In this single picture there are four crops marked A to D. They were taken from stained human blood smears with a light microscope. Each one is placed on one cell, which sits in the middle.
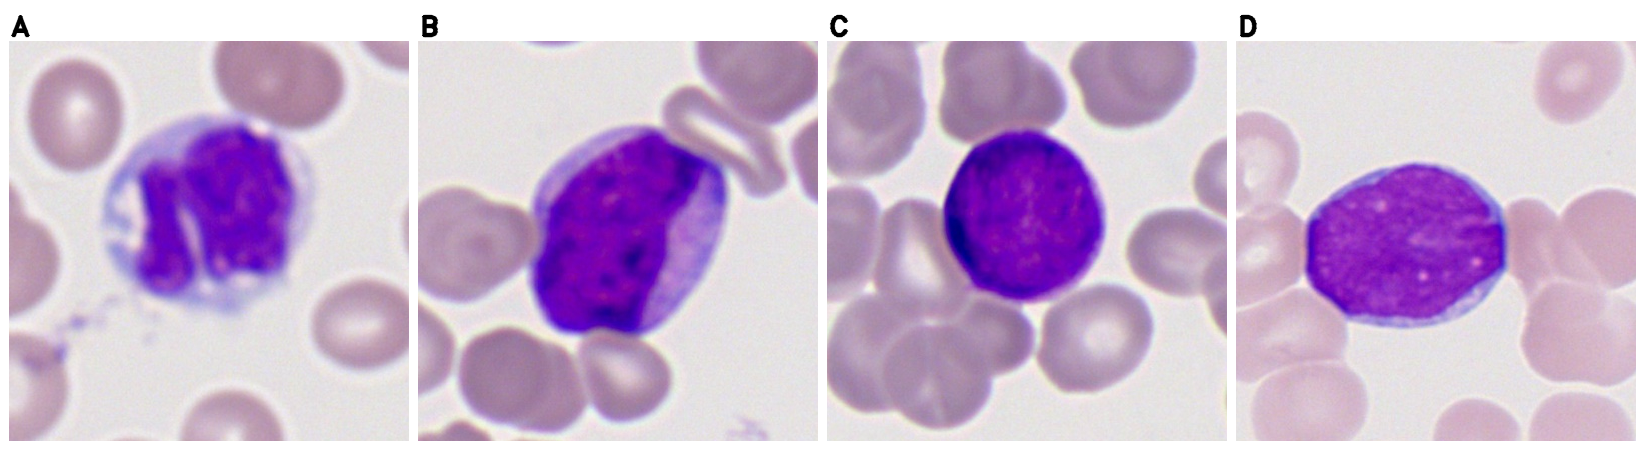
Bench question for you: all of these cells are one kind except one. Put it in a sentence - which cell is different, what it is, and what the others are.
All of the other crops show myeloblasts, while crop A shows a monocyte instead.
